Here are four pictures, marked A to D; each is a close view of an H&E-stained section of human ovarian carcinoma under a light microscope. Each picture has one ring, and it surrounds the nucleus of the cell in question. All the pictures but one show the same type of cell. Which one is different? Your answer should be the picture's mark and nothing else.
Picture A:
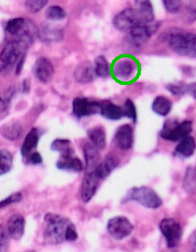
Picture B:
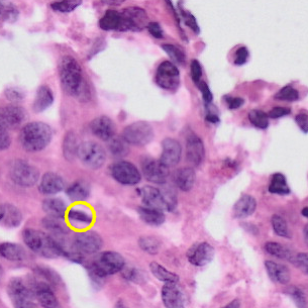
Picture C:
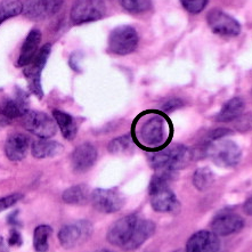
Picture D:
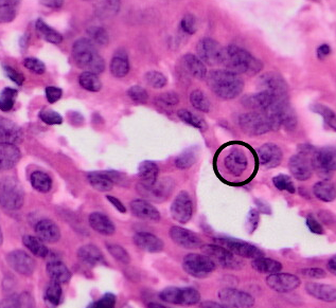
D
